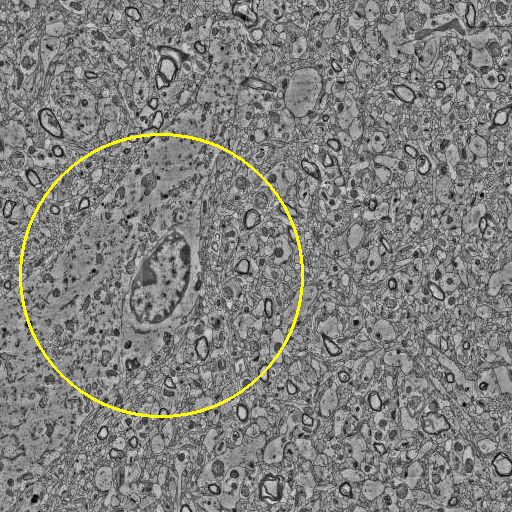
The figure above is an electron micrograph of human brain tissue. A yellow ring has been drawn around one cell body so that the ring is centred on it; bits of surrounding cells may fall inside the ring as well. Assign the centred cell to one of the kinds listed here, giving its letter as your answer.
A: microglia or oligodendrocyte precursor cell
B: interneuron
A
